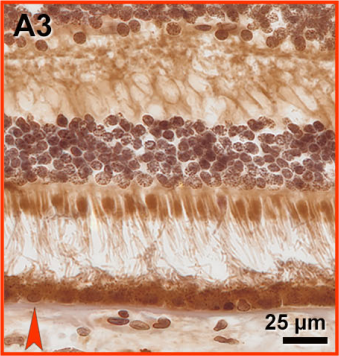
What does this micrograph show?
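At the top, pale brown wavy fibres run obliquely, forming Henle's fibre layer. Beneath lies the outer nuclear layer, a thick band of tightly packed round, dark photoreceptor nuclei. Below it the inner segments appear as rows of brown, tapering, spindle-shaped ellipsoids, the larger cone ellipsoids more strongly coloured. Under them the outer segments are thin, pale, unstained rods of material. A dark brown band marks the retinal pigment epithelium, resting on a thin membrane, and beneath that lies loose choroidal tissue with scattered oval nuclei.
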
